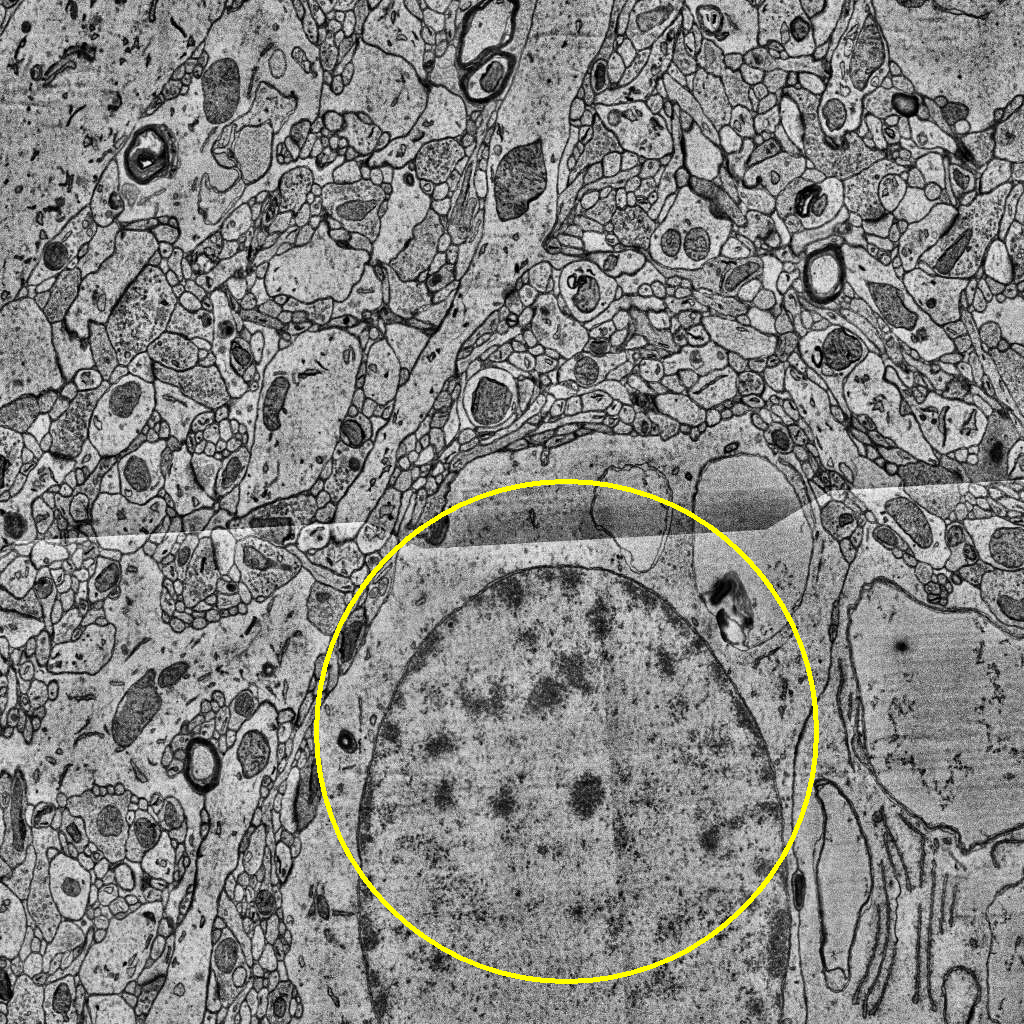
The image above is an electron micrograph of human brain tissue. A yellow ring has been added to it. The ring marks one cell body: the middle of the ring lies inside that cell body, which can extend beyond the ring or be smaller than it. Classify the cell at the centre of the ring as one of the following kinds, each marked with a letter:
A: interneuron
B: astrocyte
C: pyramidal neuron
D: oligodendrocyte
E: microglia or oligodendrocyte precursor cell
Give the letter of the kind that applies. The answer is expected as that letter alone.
B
